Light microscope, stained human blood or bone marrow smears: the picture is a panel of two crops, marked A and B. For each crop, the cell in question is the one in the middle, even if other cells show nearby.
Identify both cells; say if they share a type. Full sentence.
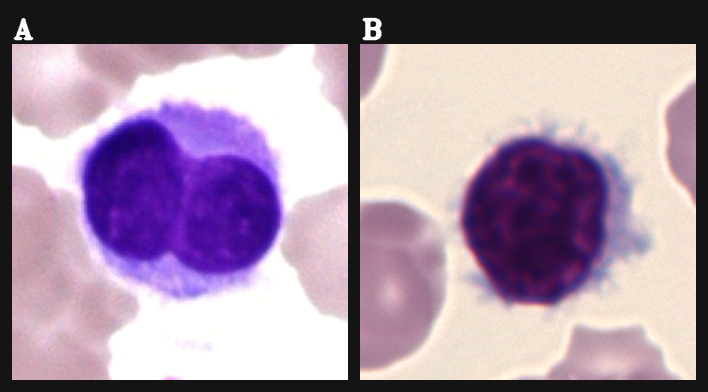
Yes, that holds, both crops show hairy cells.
